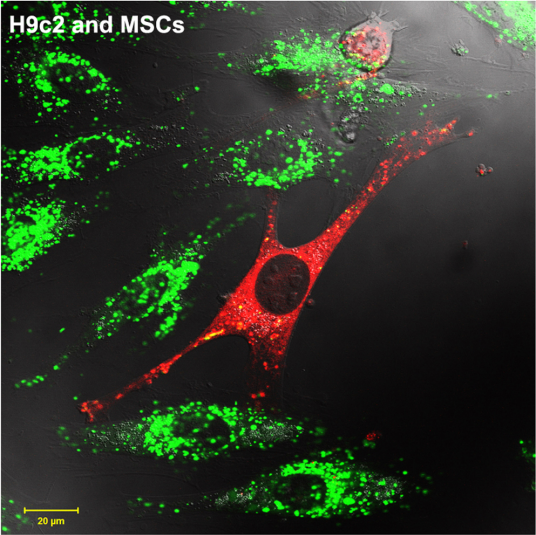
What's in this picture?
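Cultured cells of two labels lie side by side over a grey transmitted-light background. The green cells are spindle-shaped to oval and lie roughly parallel to one another. A few yellow specks appear where red and green overlap.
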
